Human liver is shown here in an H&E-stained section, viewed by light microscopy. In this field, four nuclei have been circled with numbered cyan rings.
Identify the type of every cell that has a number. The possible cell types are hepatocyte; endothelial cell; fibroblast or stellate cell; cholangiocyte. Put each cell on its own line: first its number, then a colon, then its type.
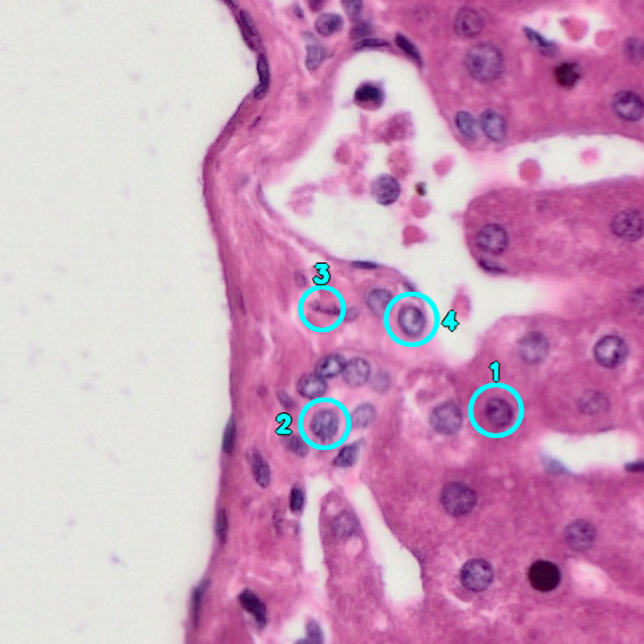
1: hepatocyte
2: cholangiocyte
3: fibroblast or stellate cell
4: cholangiocyte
